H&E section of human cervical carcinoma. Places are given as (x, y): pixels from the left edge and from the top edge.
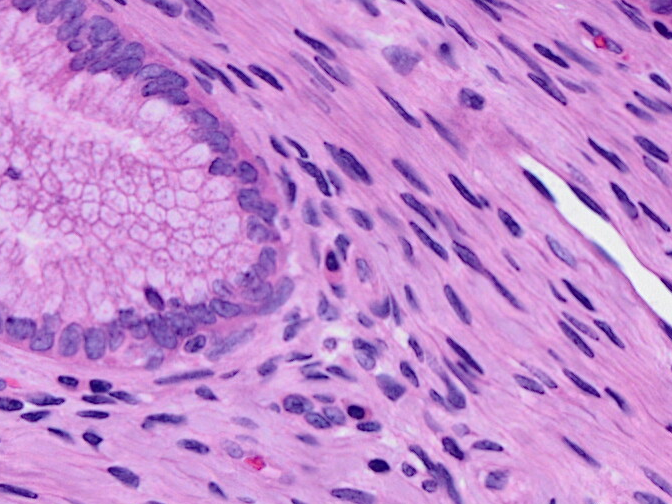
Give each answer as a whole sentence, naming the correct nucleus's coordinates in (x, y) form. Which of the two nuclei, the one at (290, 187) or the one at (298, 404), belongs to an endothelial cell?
Identified as belonging to an endothelial cell is the nucleus at (298, 404).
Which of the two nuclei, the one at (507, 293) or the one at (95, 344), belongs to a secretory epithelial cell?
Rather than the other nucleus, the one at (95, 344) belongs to a secretory epithelial cell.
